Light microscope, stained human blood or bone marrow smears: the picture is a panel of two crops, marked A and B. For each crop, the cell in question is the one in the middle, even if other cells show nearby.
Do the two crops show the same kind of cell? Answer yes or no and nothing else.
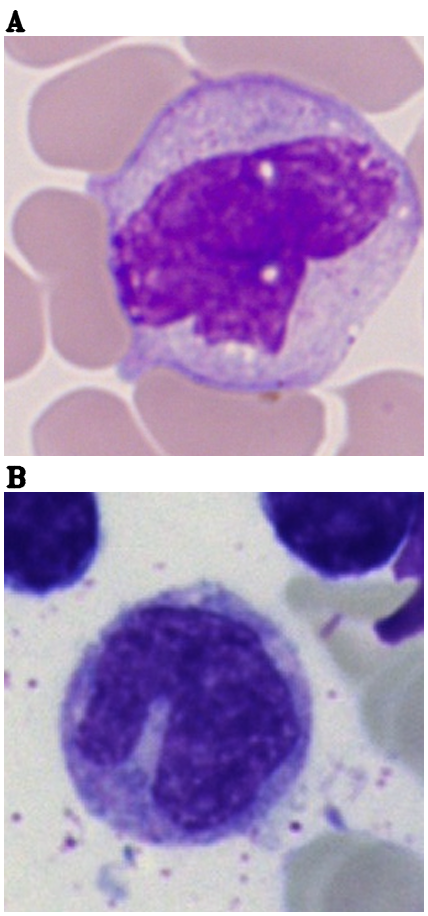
yes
